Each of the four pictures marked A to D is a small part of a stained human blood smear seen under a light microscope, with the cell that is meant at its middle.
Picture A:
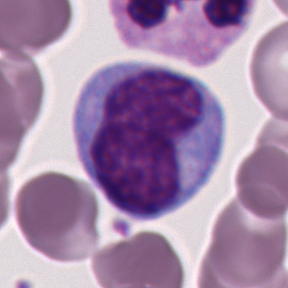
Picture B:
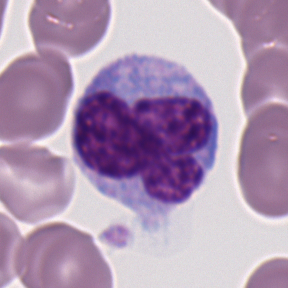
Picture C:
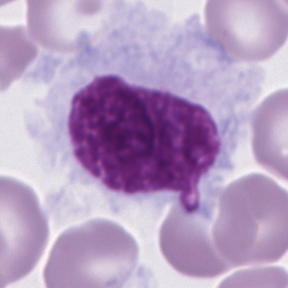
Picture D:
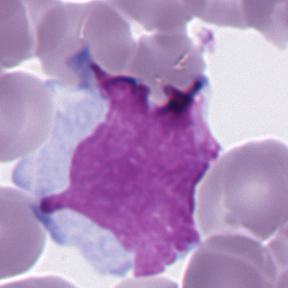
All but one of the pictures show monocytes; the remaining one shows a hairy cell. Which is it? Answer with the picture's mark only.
C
